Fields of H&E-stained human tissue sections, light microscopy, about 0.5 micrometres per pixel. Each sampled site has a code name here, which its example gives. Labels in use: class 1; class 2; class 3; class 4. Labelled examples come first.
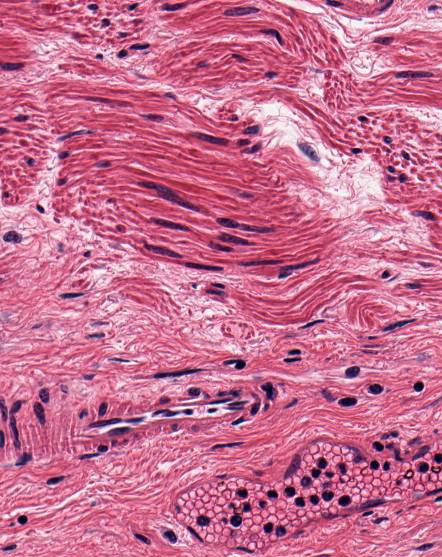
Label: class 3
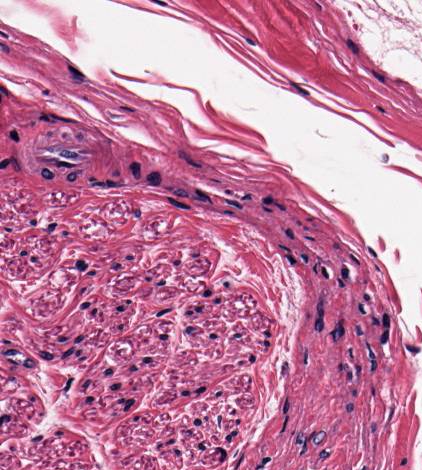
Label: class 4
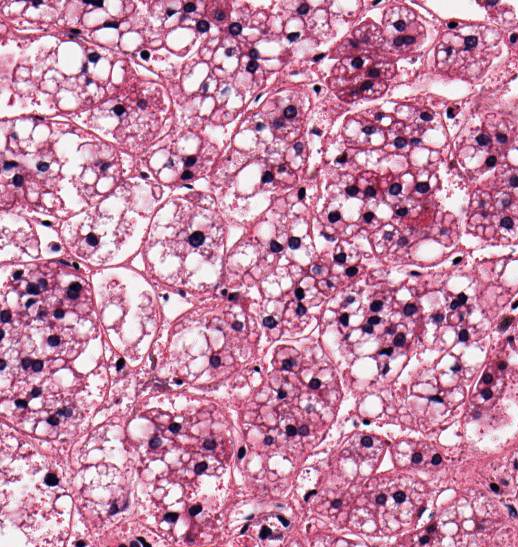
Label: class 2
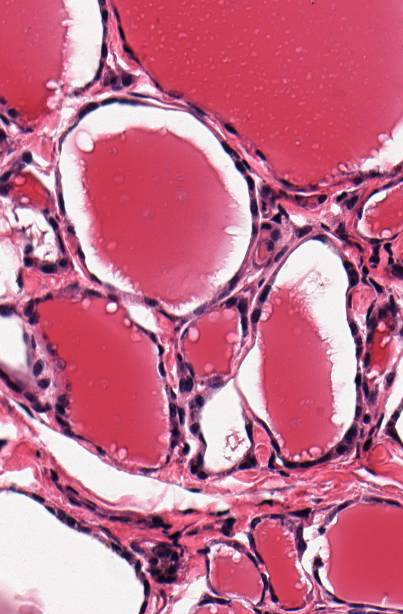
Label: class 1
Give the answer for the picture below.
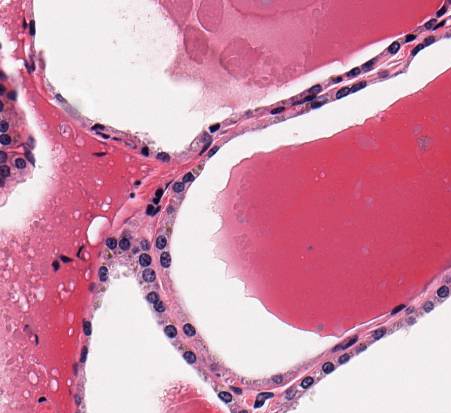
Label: class 1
